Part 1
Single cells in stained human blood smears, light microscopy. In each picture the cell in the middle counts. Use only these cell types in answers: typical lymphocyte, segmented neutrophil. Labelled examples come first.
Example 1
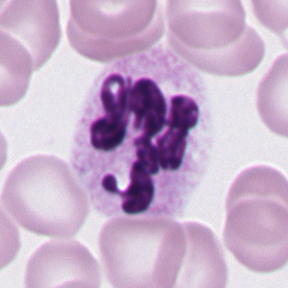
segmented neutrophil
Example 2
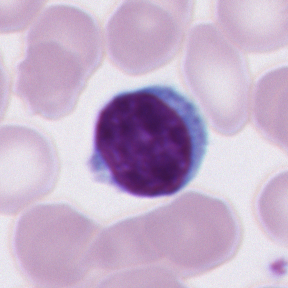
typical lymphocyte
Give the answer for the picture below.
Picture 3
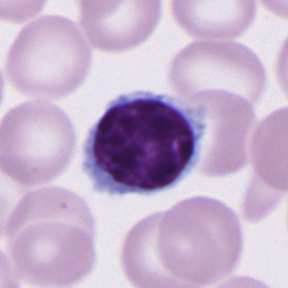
typical lymphocyte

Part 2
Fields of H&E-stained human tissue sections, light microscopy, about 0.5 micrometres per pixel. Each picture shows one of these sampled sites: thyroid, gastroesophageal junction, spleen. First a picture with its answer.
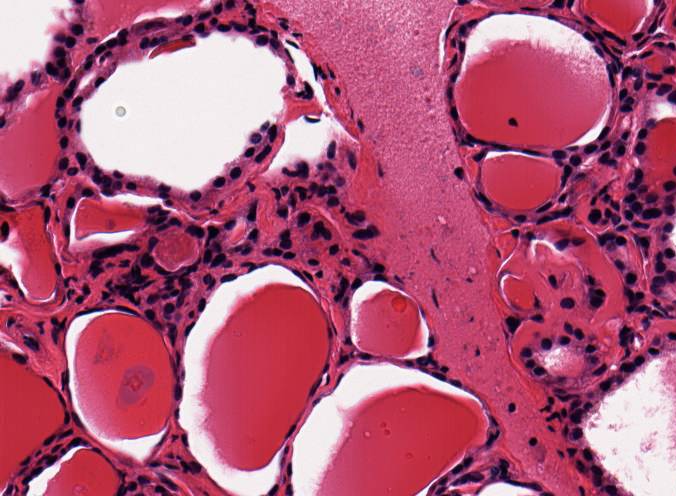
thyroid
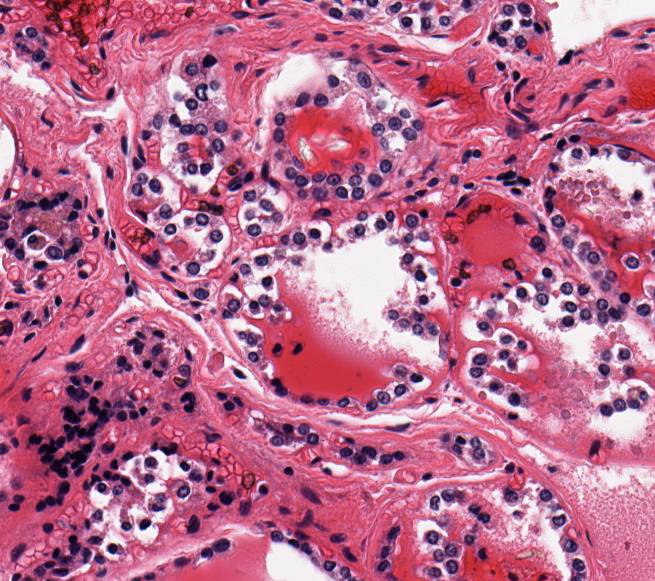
thyroid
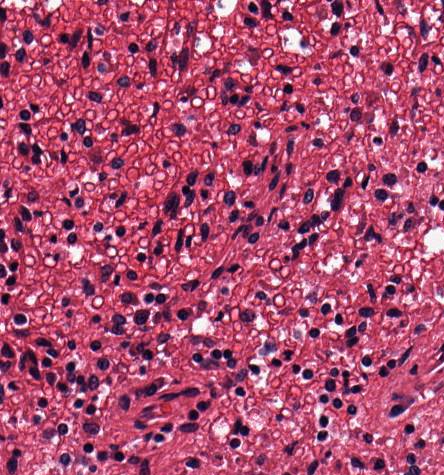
spleen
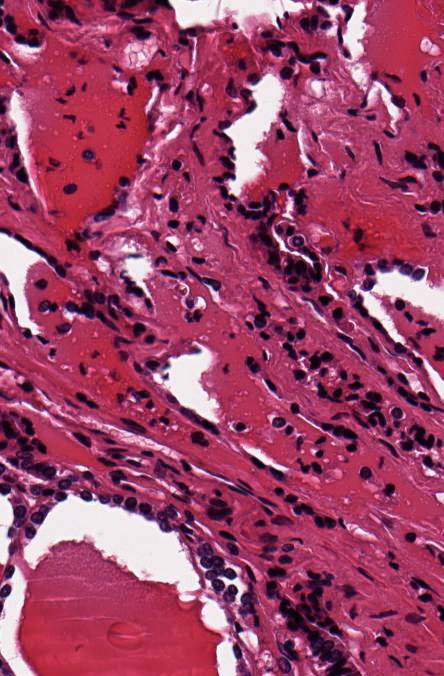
thyroid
